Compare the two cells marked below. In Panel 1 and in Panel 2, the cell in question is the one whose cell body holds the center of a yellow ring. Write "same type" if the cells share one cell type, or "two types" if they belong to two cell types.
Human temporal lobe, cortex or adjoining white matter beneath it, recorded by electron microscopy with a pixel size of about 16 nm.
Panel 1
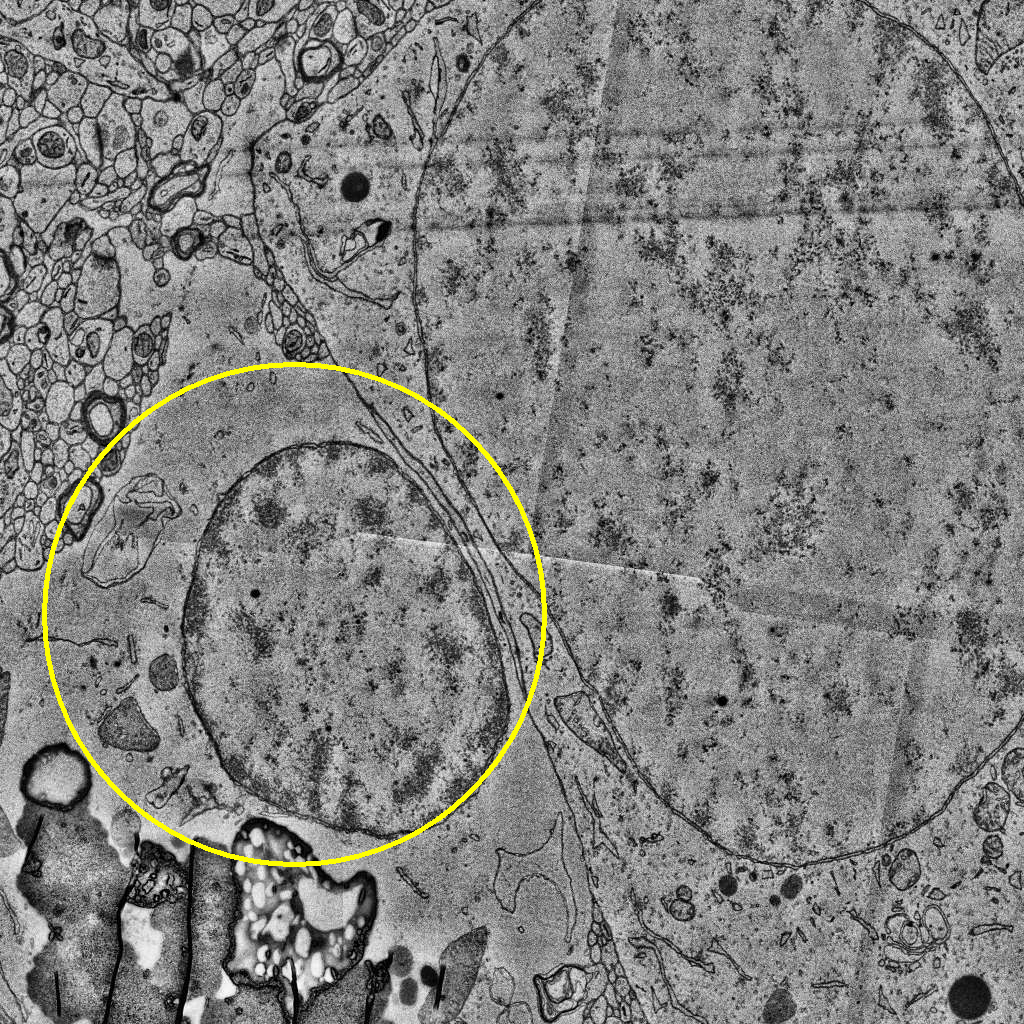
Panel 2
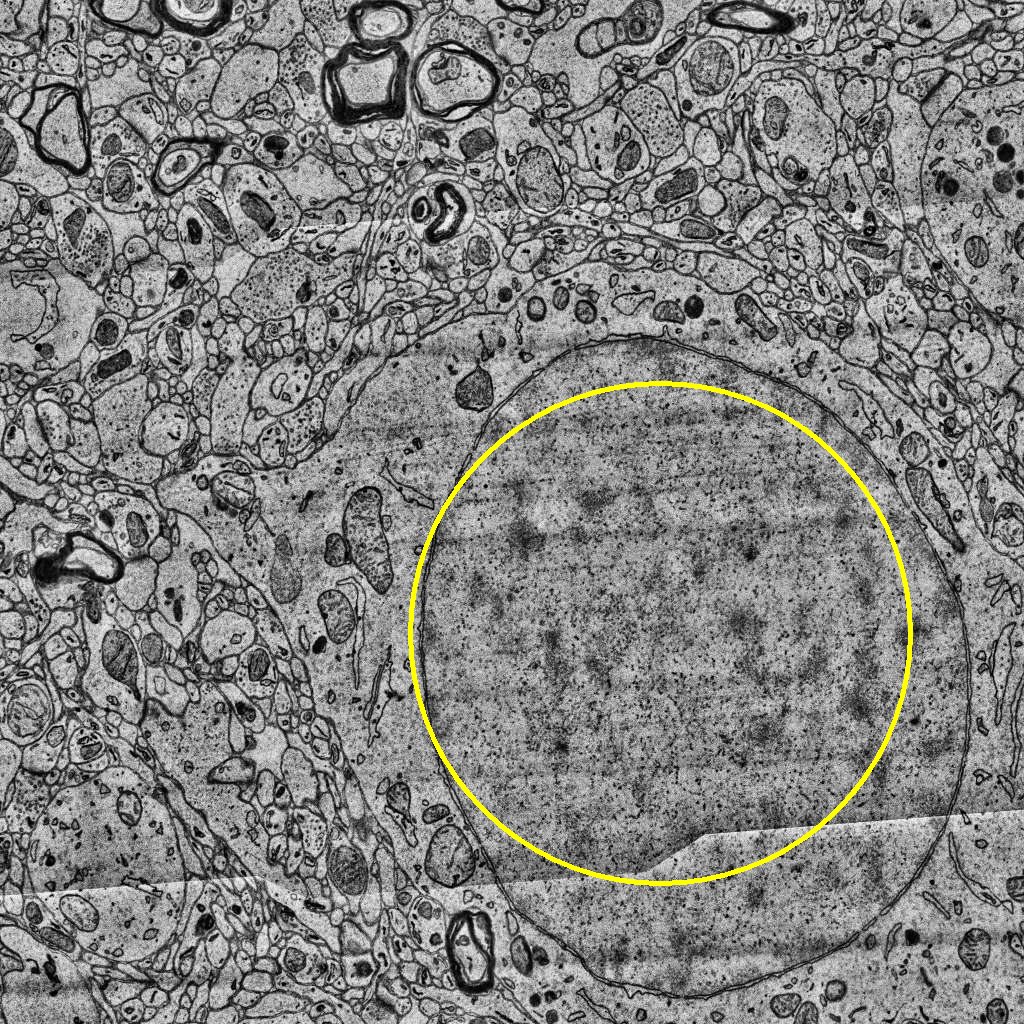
two types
